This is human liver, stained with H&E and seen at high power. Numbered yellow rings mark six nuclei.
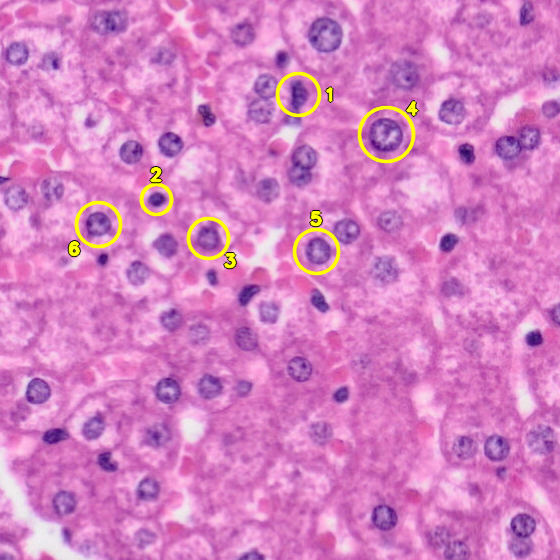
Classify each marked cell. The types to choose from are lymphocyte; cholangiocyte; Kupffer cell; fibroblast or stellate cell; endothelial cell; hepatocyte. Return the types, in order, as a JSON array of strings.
["fibroblast or stellate cell", "lymphocyte", "hepatocyte", "hepatocyte", "hepatocyte", "hepatocyte"]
